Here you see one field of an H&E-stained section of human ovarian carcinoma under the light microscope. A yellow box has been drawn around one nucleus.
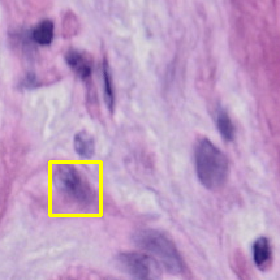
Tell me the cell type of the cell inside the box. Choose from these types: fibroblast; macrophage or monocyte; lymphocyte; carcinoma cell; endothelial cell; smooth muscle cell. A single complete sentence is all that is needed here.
Within the stained tissue, the cell inside the box is an endothelial cell.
